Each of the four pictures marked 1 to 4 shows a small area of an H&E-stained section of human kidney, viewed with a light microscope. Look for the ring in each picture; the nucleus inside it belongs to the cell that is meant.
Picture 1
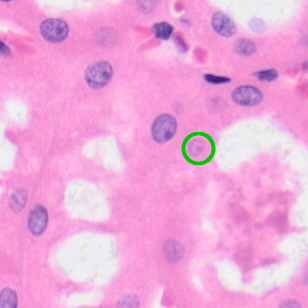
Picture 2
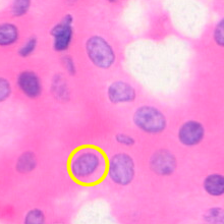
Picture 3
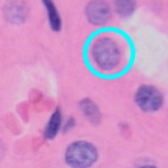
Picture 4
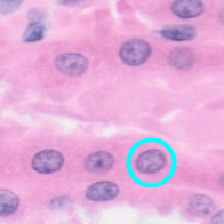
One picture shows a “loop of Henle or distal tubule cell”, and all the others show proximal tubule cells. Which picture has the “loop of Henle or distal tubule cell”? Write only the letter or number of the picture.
3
